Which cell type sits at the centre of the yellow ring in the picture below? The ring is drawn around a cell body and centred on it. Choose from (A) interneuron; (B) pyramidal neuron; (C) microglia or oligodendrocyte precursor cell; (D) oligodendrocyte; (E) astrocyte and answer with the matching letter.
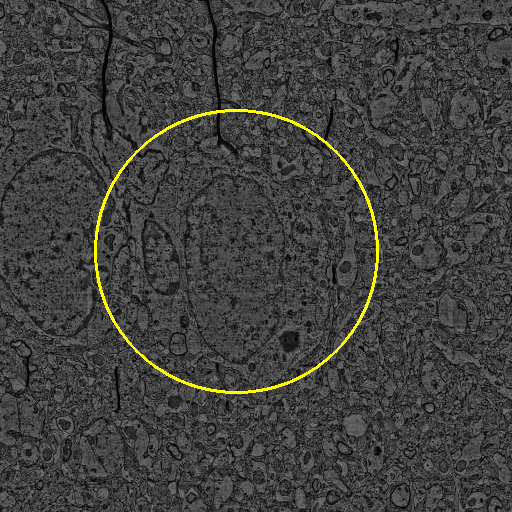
A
